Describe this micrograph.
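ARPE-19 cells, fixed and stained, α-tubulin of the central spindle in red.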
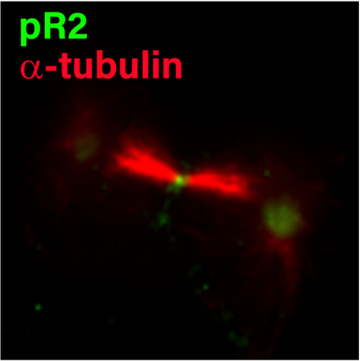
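The fibres are splayed apart toward each end and gather into a narrow waist at the middle. A second, more diffuse green spot lies just beside the right end of the bundle. Otherwise the cytoplasm is dark, with little green or red, so the cell outlines are barely seen and the bridge stands out against a black background.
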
